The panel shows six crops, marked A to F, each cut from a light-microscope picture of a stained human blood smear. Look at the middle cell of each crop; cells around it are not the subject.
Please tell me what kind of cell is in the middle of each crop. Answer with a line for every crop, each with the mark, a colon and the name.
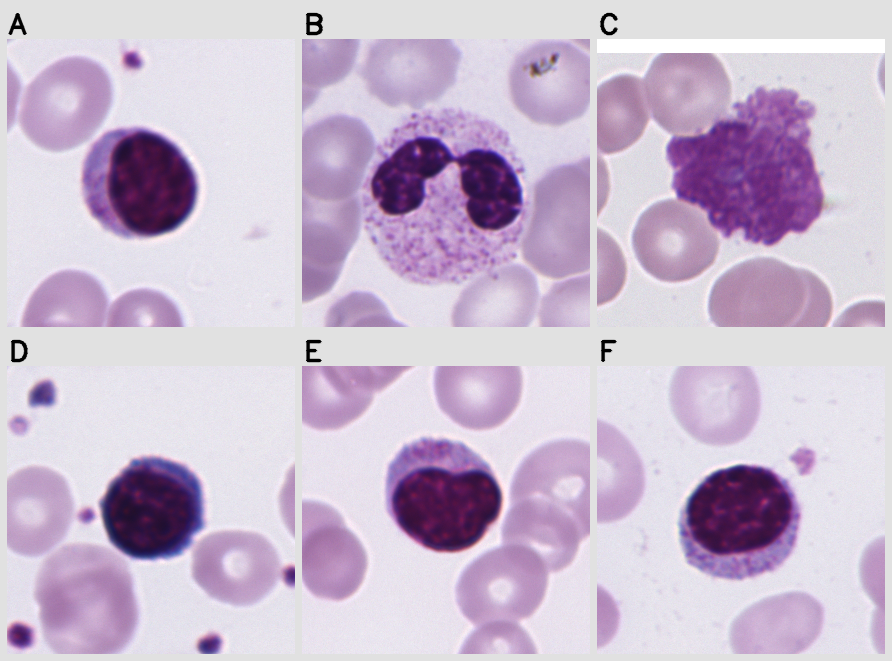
A: large granular lymphocyte
B: segmented neutrophil
C: smudge cell
D: typical lymphocyte
E: large granular lymphocyte
F: large granular lymphocyte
